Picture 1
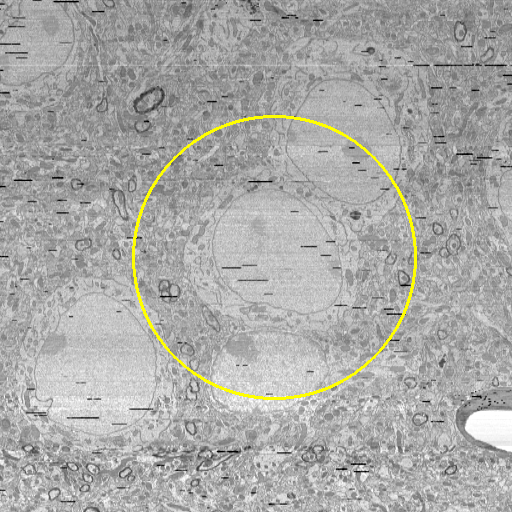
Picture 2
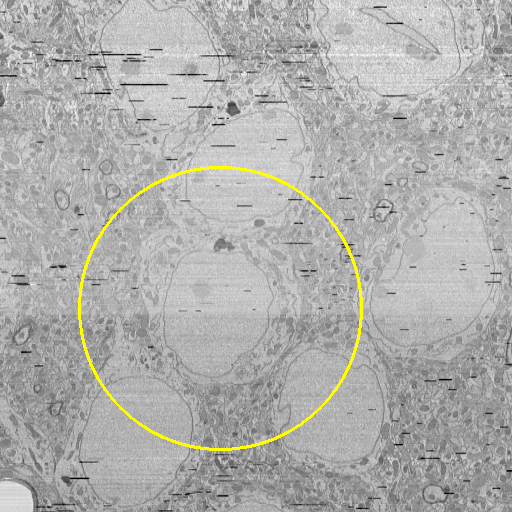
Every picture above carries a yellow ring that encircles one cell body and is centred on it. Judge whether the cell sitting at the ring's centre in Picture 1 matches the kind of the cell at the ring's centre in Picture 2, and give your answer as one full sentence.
Yes, the cells centred in the rings of Pictures 1 and 2 belong to one kind.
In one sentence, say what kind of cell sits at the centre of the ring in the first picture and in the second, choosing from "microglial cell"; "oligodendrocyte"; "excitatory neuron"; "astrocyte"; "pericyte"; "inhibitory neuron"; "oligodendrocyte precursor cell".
The second cell is an excitatory neuron, just as the first is.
